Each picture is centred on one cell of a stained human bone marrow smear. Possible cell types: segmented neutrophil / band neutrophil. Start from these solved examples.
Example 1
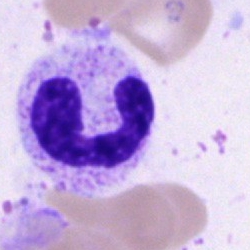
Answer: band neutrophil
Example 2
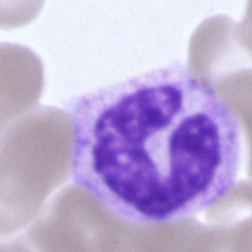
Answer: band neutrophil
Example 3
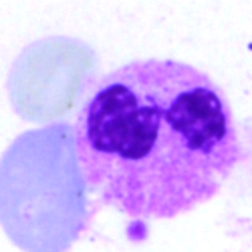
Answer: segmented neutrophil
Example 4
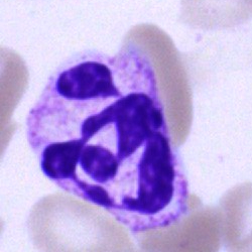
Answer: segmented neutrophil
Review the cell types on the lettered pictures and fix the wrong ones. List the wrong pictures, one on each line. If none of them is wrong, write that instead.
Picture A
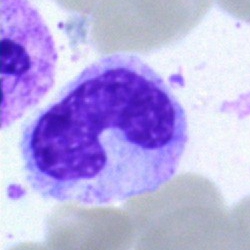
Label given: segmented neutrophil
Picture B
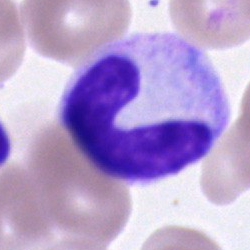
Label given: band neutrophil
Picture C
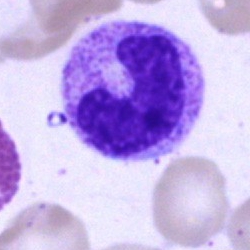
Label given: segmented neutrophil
A: band neutrophil, not segmented neutrophil
C: band neutrophil, not segmented neutrophil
